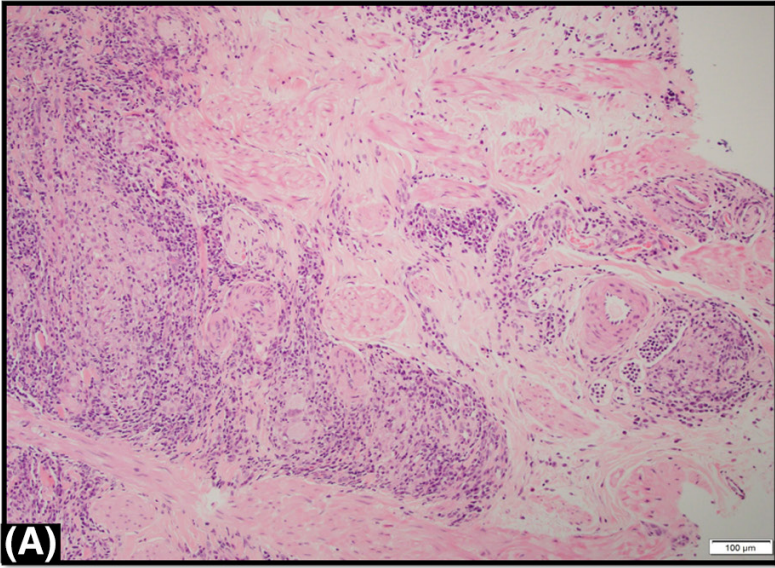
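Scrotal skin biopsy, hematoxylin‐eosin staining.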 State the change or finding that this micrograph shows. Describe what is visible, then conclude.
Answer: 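Non‐caseating granulomas. Rounded nodular collections of pale pink cells lie within the dermis. The nodules are rimmed by densely packed small dark-blue cells. No central necrotic debris is seen within the nodules.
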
